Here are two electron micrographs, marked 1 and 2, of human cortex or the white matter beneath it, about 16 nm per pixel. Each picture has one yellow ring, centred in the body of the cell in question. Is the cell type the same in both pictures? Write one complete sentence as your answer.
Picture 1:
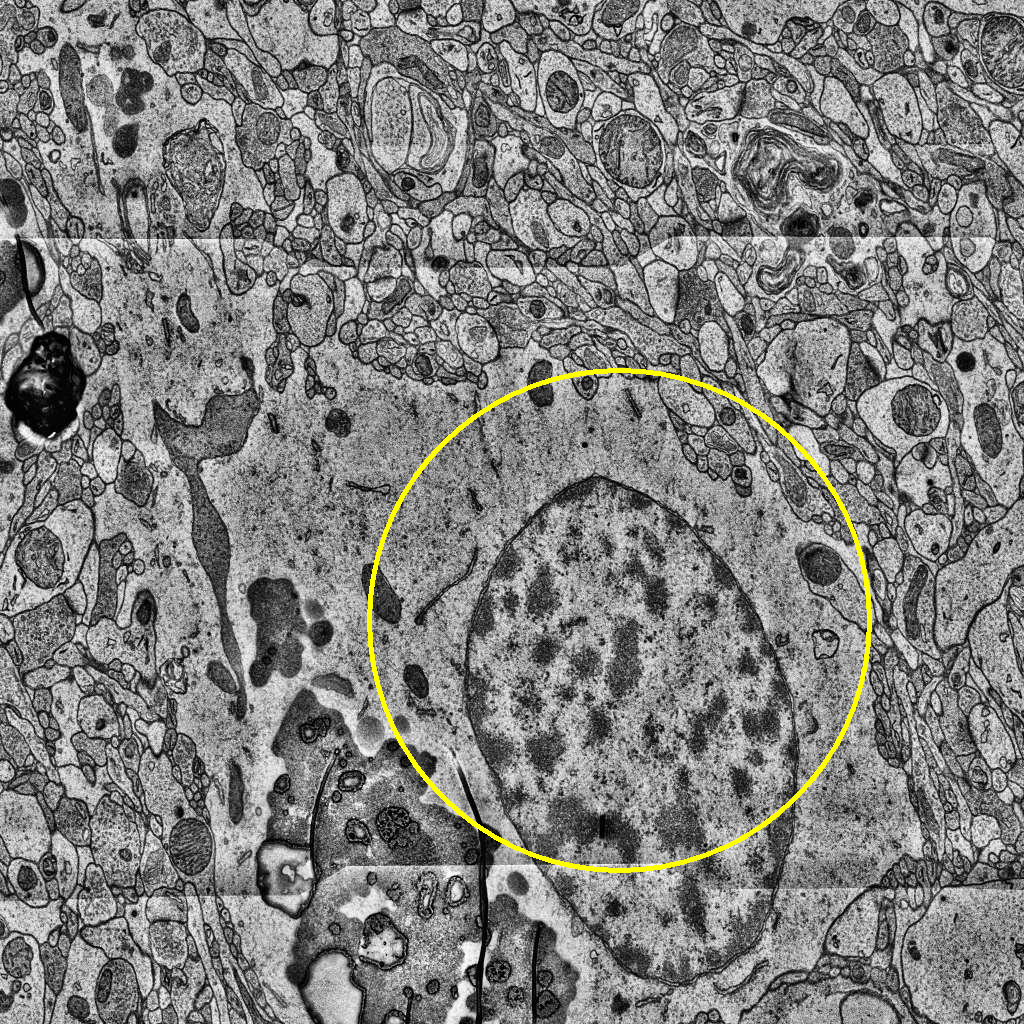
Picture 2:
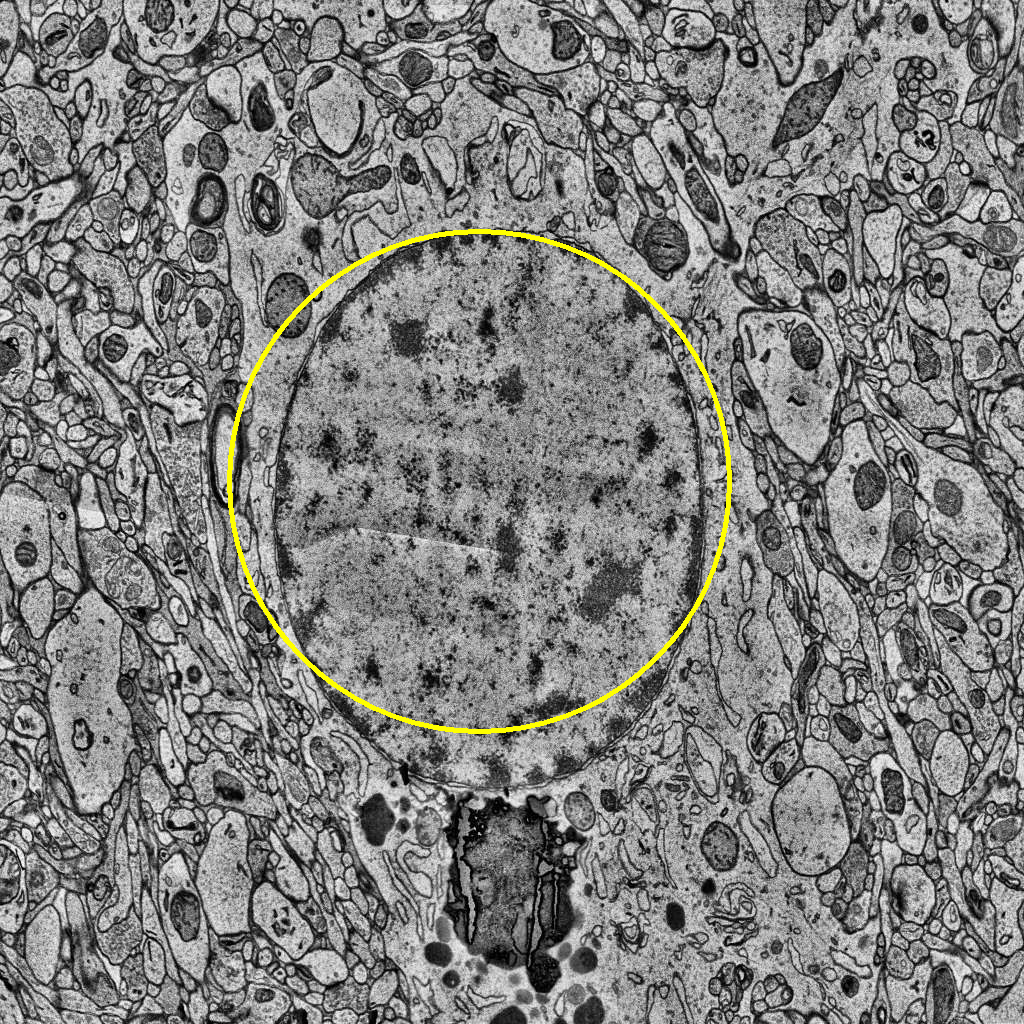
Yes, both cells are astrocytes.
